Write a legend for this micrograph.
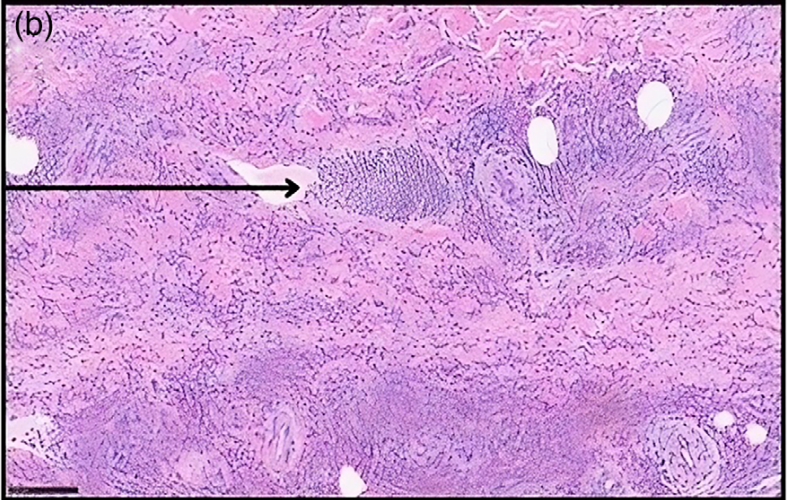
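The dermis is filled by a diffuse inflammatory infiltrate of small cells with dark nuclei spread through pink collagenous stroma. In places the cells gather into dense, darker clusters, some arranged around small vessels and adnexal structures. Small round clear spaces, probably fat cells or vessel lumina, are scattered through the field.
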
